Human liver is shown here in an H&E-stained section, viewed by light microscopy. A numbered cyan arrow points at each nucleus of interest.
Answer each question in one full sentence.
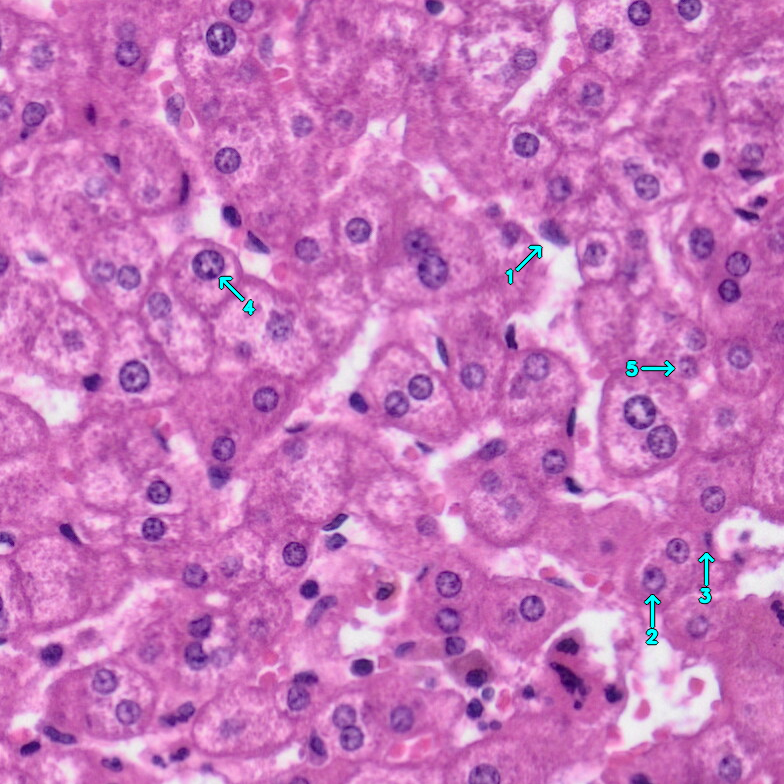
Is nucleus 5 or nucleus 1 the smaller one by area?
Number 5 is smaller, since number 1 takes up about 1.5 times as much area.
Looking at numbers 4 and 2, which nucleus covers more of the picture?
Nucleus 4 is larger, with an area about 2 times that of nucleus 2.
